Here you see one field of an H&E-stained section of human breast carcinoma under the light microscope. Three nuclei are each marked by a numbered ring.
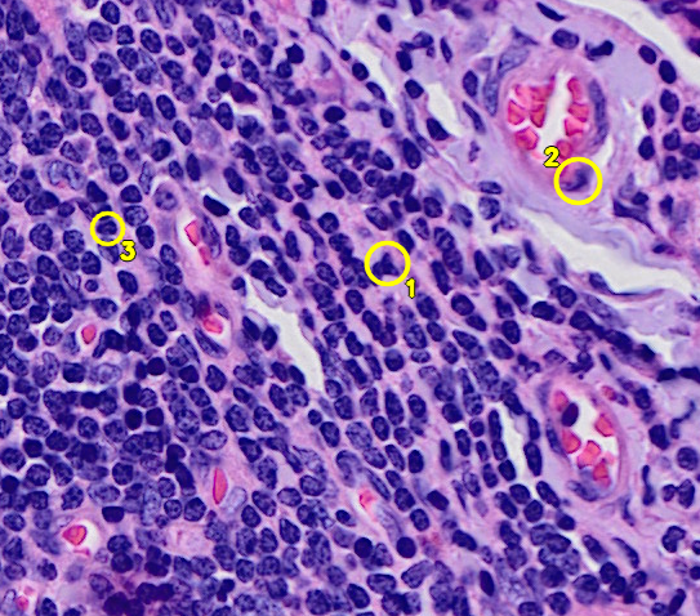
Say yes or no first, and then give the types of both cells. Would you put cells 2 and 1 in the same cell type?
No, cell 1 is a lymphocyte, whereas cell 2 is an endothelial cell.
